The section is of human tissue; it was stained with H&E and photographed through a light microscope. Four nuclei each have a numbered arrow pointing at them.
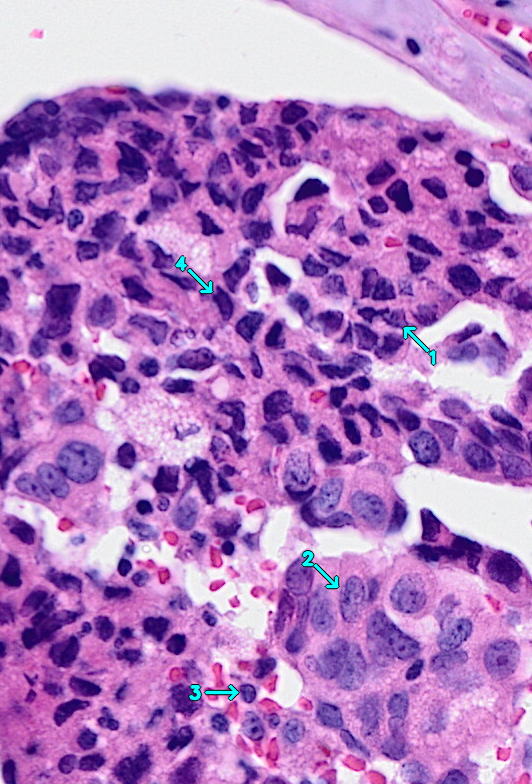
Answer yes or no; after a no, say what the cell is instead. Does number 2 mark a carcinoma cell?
Yes.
